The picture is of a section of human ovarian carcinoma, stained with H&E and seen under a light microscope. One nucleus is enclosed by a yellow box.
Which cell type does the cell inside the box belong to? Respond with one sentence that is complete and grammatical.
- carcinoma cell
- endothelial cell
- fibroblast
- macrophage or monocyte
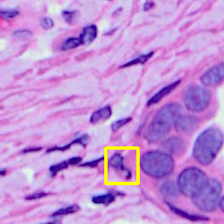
In terms of identity, the cell inside the box is a fibroblast.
